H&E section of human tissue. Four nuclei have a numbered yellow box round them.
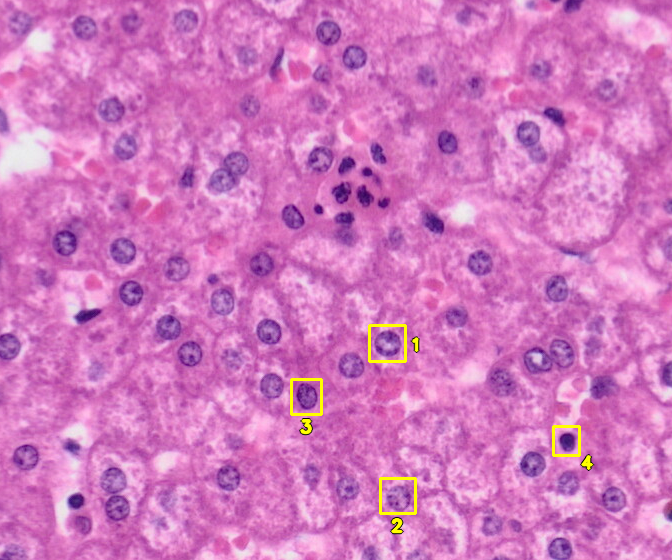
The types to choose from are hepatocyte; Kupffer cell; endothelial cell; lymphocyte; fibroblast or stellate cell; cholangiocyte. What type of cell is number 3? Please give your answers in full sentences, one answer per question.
Classified as a hepatocyte is the cell with the number 3.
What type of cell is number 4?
Heads up, the cell numbered 4 is a lymphocyte.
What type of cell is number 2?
The cell pointed out by number 2 is a hepatocyte.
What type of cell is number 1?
The numbered cell 1 in this field is a hepatocyte.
